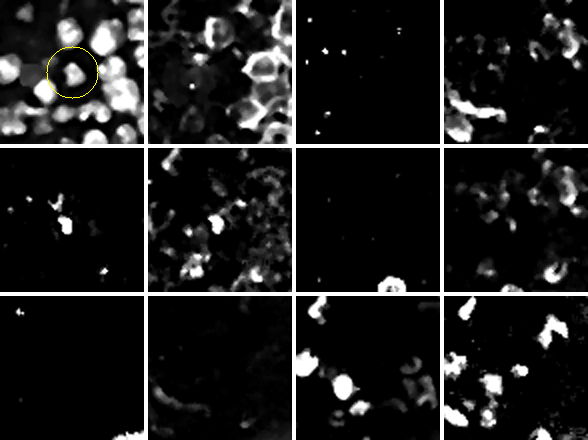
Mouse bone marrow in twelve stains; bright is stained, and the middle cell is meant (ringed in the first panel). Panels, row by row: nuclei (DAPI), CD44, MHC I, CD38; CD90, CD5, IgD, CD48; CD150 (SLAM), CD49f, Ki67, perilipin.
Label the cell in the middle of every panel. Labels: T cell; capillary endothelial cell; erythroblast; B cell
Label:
T cell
